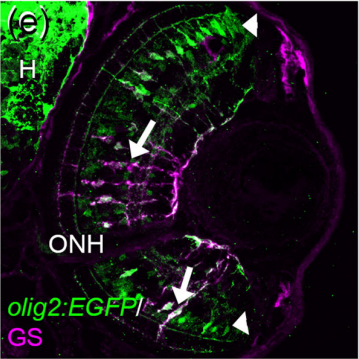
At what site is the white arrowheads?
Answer: Periphery.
